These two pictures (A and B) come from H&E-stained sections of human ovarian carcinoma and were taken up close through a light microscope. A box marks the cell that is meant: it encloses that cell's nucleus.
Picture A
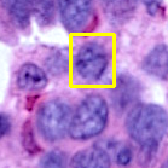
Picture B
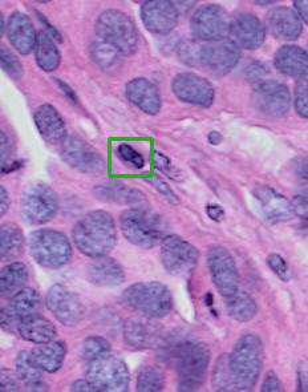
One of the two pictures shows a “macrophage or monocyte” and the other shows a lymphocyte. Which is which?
A: macrophage or monocyte
B: lymphocyte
